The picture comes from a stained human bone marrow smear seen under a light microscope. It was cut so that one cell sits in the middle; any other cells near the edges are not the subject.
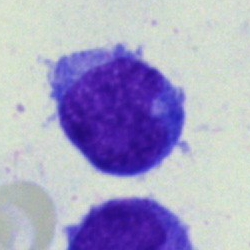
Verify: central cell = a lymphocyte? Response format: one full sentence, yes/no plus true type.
No, the centrally located cell is a blast rather than a lymphocyte.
